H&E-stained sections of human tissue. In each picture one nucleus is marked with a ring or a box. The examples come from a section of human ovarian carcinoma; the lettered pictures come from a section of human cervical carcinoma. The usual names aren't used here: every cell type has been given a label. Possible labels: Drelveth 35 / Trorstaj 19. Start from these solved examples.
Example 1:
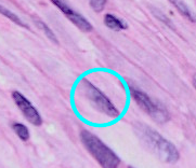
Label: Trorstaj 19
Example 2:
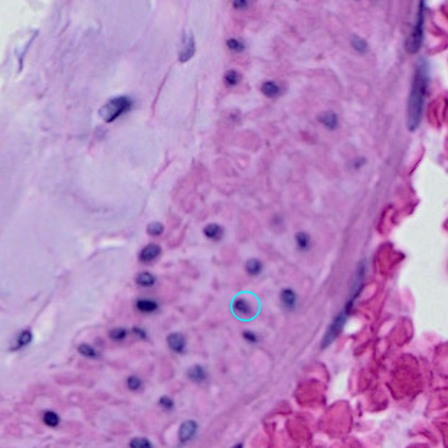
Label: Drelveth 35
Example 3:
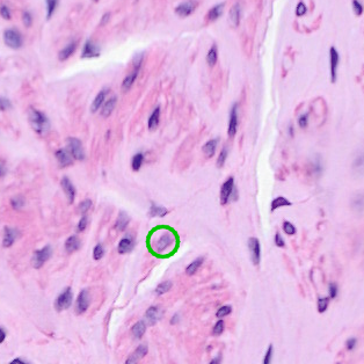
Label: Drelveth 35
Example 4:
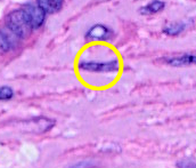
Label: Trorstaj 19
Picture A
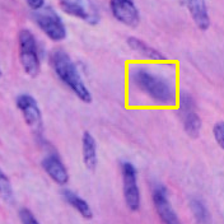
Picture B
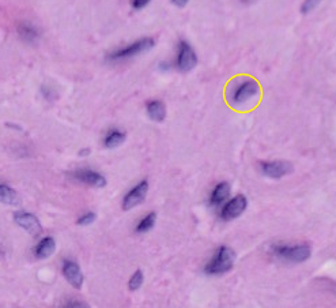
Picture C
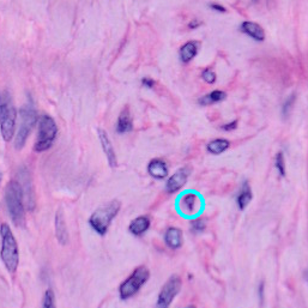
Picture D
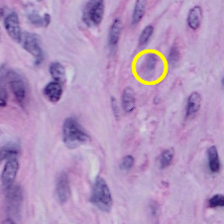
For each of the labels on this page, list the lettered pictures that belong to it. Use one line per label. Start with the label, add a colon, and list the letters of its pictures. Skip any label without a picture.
Drelveth 35: C, D
Trorstaj 19: A, B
